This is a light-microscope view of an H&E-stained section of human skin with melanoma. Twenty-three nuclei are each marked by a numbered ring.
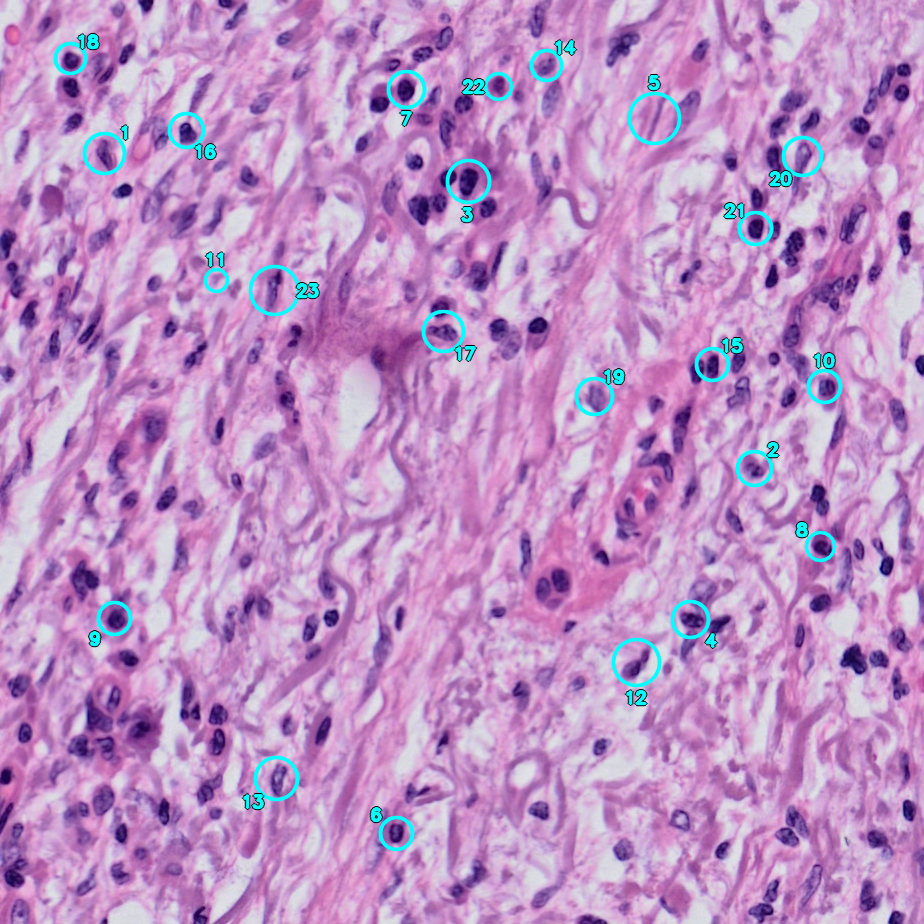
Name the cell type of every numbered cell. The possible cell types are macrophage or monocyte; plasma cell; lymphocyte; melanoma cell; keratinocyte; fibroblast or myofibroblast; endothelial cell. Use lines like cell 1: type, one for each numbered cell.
cell 1: macrophage or monocyte
cell 2: plasma cell
cell 3: plasma cell
cell 4: plasma cell
cell 5: fibroblast or myofibroblast
cell 6: plasma cell
cell 7: plasma cell
cell 8: plasma cell
cell 9: plasma cell
cell 10: plasma cell
cell 11: fibroblast or myofibroblast
cell 12: fibroblast or myofibroblast
cell 13: fibroblast or myofibroblast
cell 14: macrophage or monocyte
cell 15: plasma cell
cell 16: lymphocyte
cell 17: macrophage or monocyte
cell 18: plasma cell
cell 19: fibroblast or myofibroblast
cell 20: fibroblast or myofibroblast
cell 21: plasma cell
cell 22: plasma cell
cell 23: fibroblast or myofibroblast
